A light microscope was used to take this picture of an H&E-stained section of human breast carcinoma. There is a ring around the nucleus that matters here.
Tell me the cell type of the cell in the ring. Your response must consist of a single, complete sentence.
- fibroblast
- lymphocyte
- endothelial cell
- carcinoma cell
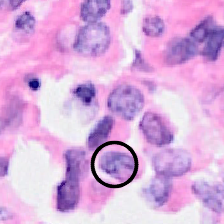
In cell-type terms, the cell in the ring is a carcinoma cell.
